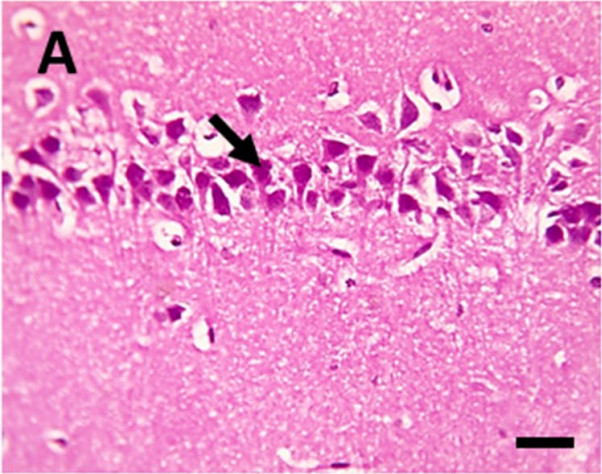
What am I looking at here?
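This is the pyramidal layer of the hippocampus, a dense band of neurons with purple, triangular cell bodies and tapering processes. The band is set in pale pink neuropil with scattered smaller cells above and below it.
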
